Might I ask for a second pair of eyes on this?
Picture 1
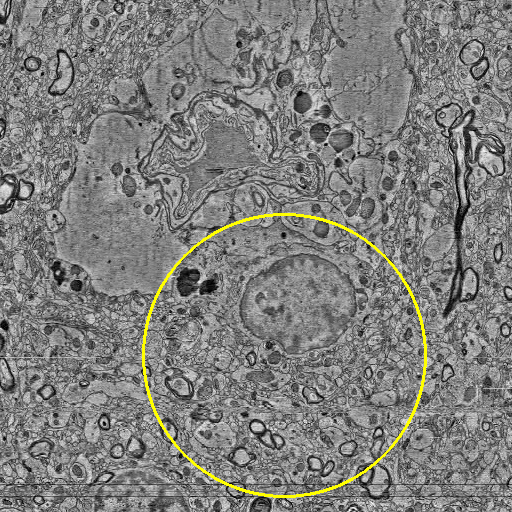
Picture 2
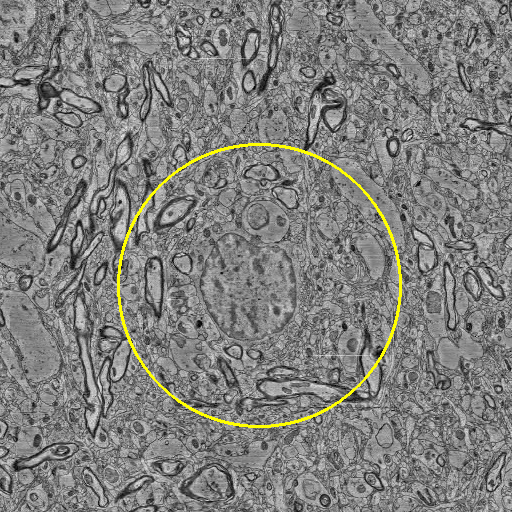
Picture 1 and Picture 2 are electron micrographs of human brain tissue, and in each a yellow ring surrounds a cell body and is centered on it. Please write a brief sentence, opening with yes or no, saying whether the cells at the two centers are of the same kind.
Yes, the cells are of the same kind.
